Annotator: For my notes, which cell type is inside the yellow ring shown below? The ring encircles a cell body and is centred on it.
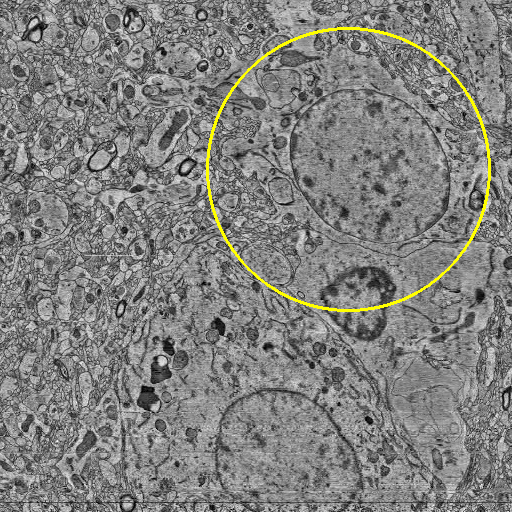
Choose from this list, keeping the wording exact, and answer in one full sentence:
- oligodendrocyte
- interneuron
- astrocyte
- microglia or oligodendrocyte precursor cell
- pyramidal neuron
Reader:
At the centre of the yellow ring there is an astrocyte, as shown in the picture.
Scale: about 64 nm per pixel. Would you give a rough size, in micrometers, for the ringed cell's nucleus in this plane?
About 10 micrometres across, as seen in this plane.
